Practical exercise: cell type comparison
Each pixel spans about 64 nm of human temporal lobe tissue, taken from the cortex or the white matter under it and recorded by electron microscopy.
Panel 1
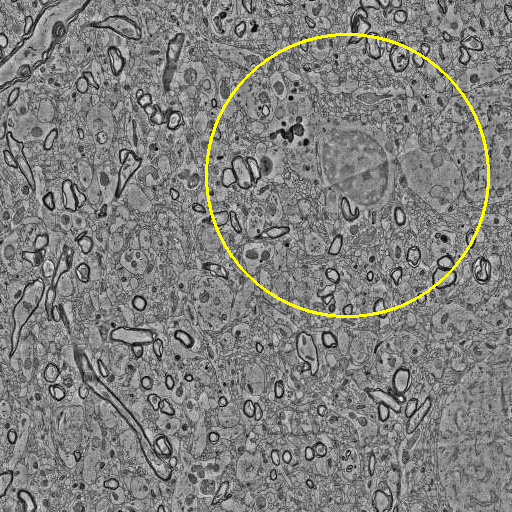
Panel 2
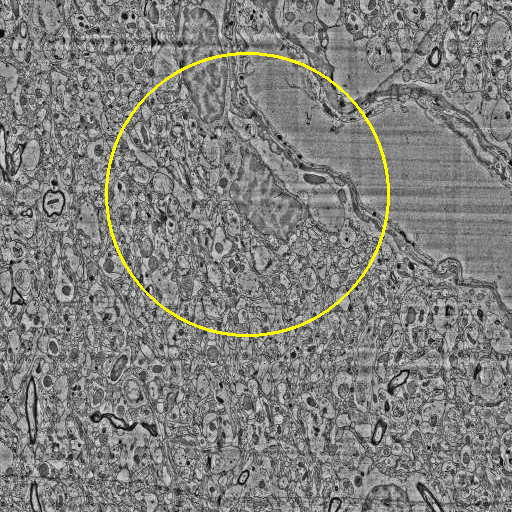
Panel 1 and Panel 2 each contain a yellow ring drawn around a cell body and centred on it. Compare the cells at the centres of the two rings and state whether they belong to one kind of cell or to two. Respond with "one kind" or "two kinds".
one kind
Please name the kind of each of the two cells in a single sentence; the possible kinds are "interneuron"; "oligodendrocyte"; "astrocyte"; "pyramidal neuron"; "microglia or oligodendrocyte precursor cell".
The cell in the first picture is an oligodendrocyte, and so is the one in the second.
